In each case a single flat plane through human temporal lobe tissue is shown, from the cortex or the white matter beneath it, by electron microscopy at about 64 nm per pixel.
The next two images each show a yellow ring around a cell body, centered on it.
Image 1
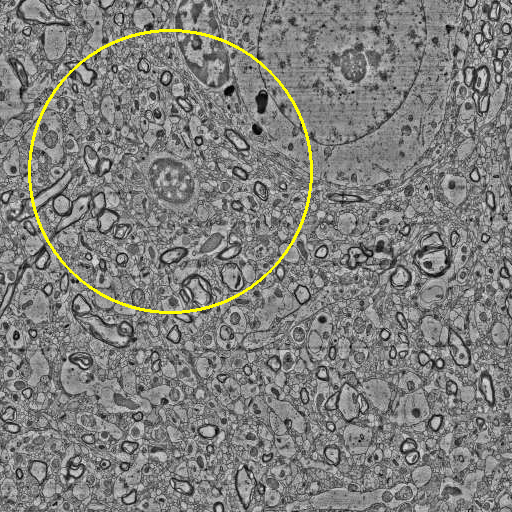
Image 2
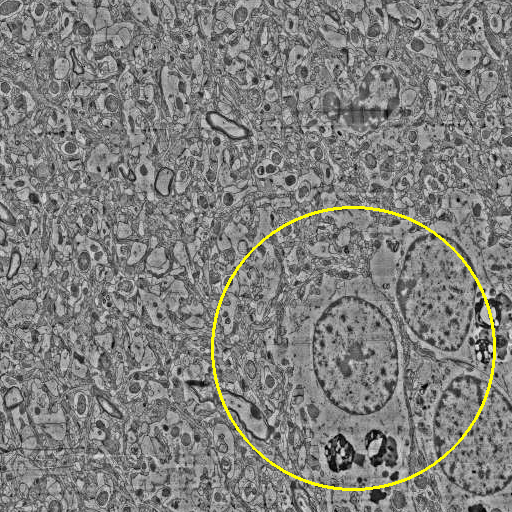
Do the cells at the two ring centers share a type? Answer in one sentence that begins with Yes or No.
No, across the two images the cells at the ring centers are of two types.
